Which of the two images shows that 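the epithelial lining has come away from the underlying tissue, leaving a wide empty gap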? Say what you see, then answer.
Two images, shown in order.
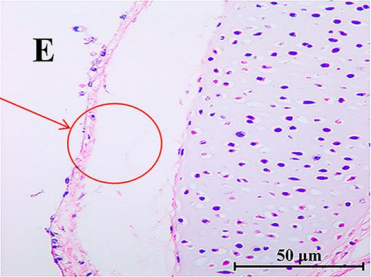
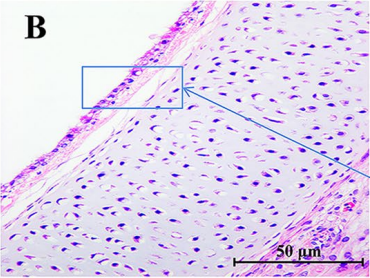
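First image: a thin surface strip lies far from the cartilage across a wide clear space. Second image: the cellular lining lies close to the cartilage with only thin connective tissue between. That points to this answer: the first image.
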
